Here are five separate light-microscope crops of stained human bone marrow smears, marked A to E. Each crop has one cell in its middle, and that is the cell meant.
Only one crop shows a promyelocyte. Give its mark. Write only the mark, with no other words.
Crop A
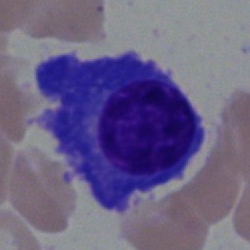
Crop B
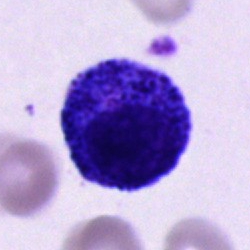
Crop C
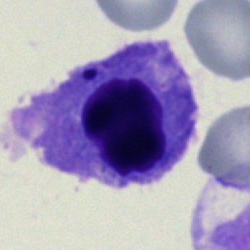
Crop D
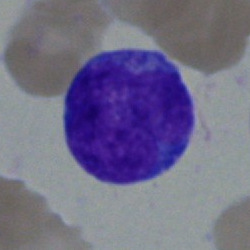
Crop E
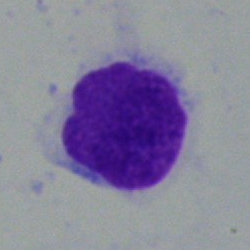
B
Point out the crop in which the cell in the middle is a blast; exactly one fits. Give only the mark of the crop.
D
